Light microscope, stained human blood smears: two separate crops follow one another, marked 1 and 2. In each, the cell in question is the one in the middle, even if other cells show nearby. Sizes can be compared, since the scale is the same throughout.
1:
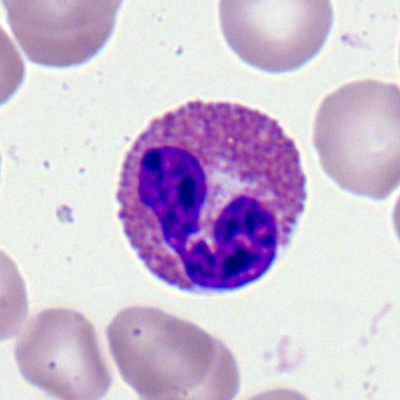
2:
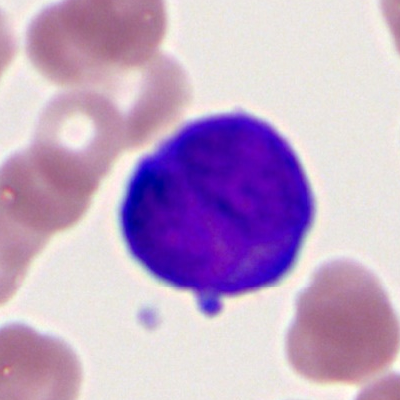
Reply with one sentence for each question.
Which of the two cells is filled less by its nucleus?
In crop 1 the nucleus takes up the smaller part of its cell.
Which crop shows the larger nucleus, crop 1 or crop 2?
Larger is the nucleus in crop 2, at roughly 2.5 times the area of the other.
